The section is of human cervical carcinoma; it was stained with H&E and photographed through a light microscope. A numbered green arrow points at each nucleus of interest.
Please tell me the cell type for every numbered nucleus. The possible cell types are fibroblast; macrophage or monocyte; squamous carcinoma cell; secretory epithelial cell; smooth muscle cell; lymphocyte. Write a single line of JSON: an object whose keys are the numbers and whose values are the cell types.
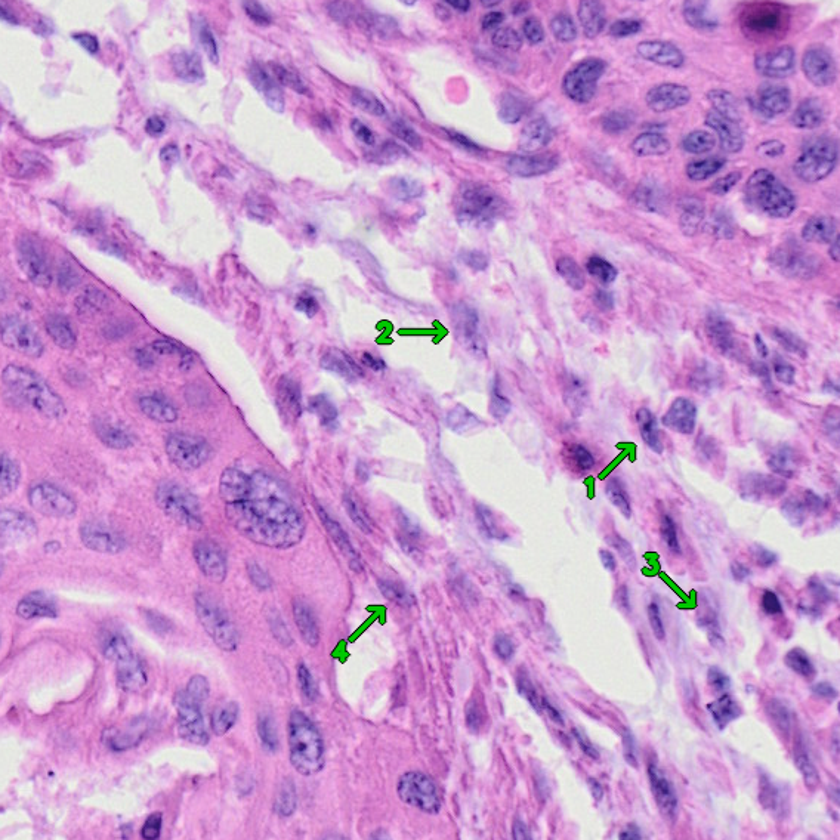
{"1": "lymphocyte", "2": "fibroblast", "3": "fibroblast", "4": "fibroblast"}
